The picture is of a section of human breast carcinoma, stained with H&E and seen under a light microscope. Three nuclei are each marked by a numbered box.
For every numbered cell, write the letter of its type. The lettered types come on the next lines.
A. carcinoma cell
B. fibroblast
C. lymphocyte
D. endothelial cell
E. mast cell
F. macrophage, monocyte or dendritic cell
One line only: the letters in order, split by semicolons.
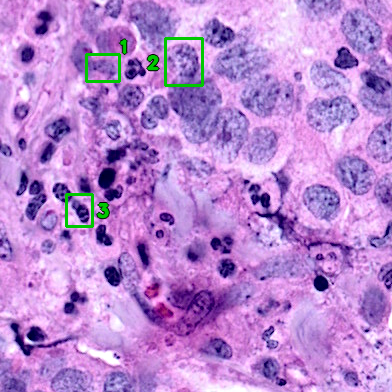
D; A; C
